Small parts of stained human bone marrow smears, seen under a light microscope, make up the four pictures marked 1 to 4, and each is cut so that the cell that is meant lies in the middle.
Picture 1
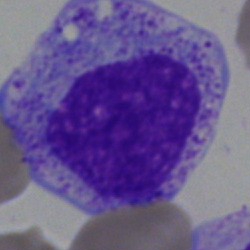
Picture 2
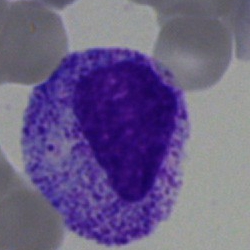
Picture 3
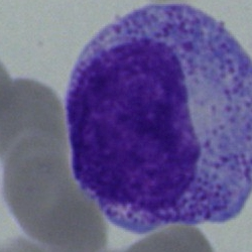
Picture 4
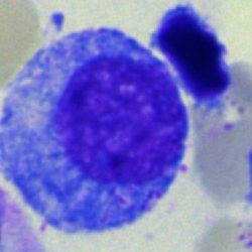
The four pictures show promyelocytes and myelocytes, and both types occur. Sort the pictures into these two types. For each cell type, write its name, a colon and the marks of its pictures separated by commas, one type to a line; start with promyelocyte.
promyelocyte: 3, 4
myelocyte: 1, 2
